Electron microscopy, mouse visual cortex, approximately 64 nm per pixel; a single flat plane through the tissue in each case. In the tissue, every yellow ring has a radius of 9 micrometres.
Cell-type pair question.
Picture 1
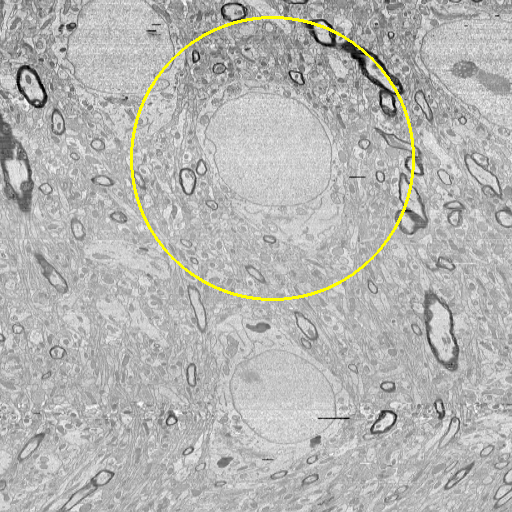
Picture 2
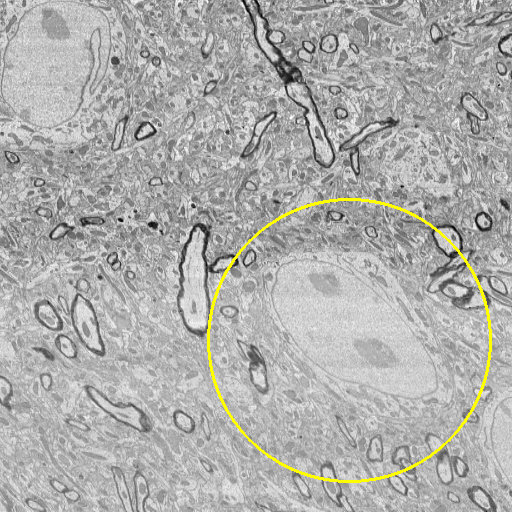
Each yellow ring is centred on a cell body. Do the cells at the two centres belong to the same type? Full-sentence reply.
Yes, the two cells belong to the same type.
